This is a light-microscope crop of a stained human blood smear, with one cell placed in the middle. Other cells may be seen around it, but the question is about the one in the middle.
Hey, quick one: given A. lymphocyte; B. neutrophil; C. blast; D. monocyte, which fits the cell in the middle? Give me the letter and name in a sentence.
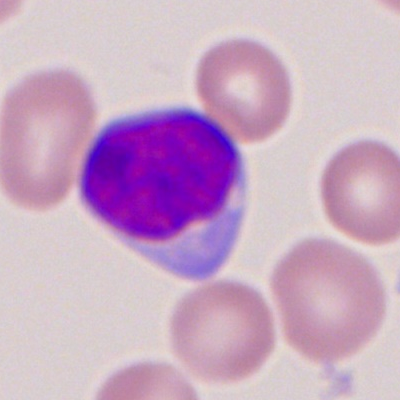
Option A holds up: the cell in the middle is a lymphocyte.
